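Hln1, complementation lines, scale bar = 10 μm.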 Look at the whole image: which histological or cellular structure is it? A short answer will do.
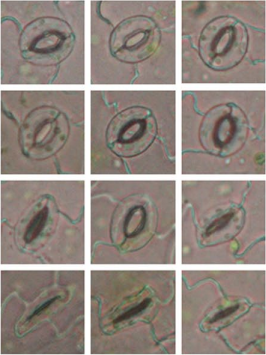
Stomata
